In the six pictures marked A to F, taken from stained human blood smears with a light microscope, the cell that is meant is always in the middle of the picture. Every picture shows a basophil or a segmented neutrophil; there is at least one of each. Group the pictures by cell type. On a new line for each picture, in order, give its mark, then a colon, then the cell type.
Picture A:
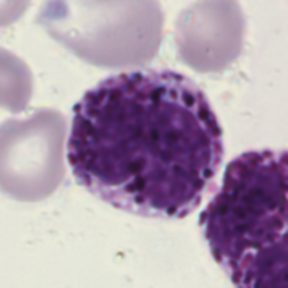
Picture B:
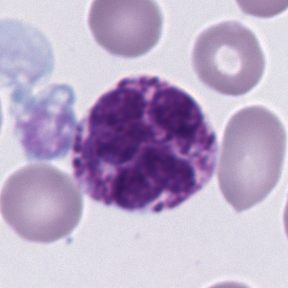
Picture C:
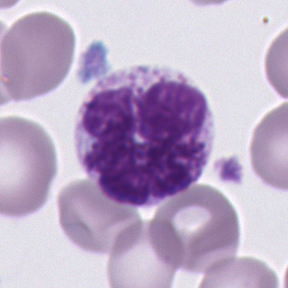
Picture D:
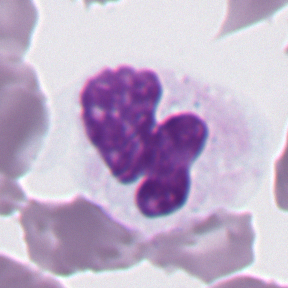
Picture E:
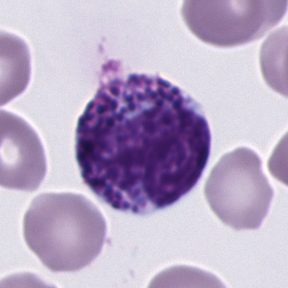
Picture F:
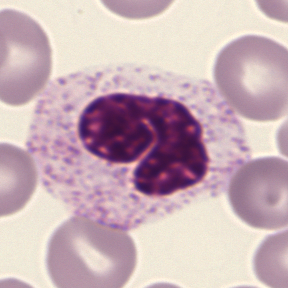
A: basophil
B: basophil
C: basophil
D: segmented neutrophil
E: basophil
F: segmented neutrophil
